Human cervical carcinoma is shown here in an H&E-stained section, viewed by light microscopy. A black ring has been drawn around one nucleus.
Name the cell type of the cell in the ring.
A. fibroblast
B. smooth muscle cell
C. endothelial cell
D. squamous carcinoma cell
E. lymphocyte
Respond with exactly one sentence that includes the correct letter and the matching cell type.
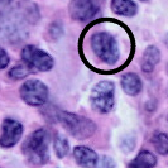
On this slide, the cell in the ring is a lymphocyte, so option E is right.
